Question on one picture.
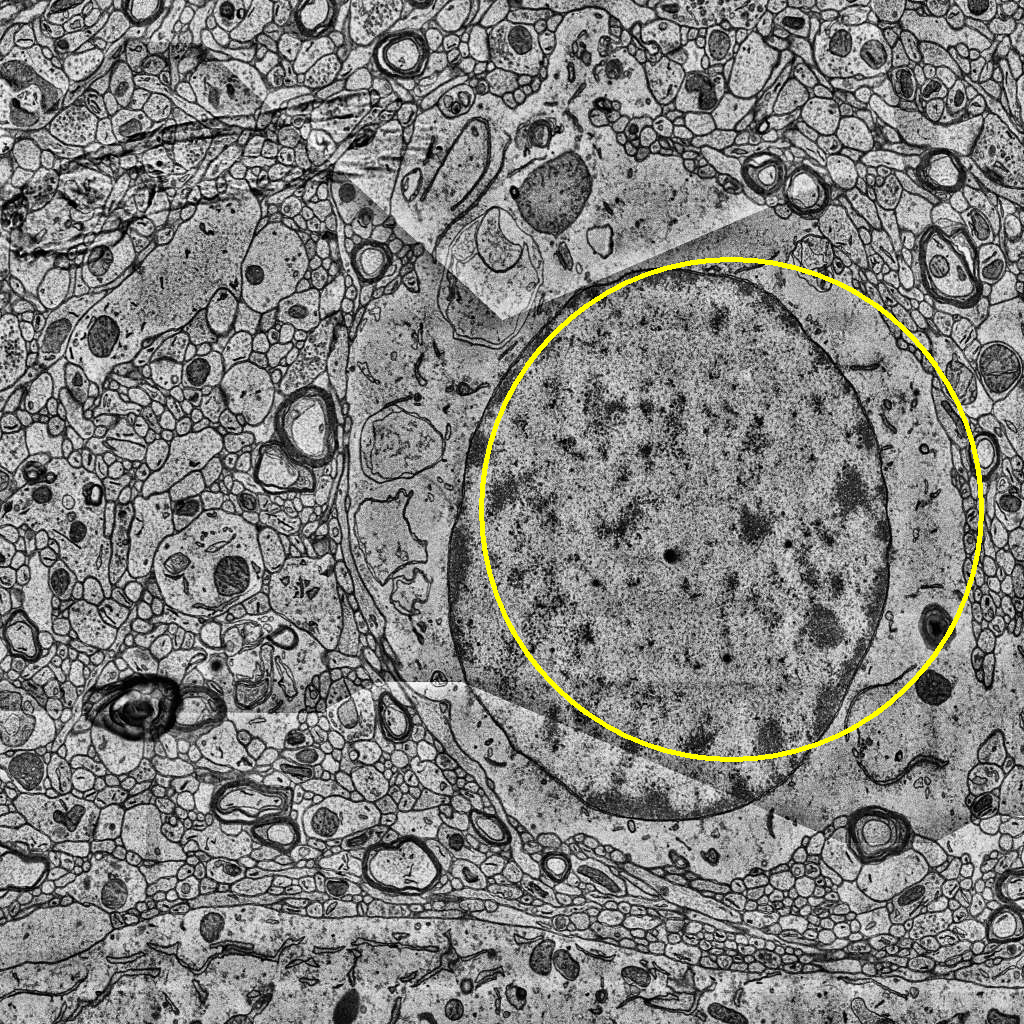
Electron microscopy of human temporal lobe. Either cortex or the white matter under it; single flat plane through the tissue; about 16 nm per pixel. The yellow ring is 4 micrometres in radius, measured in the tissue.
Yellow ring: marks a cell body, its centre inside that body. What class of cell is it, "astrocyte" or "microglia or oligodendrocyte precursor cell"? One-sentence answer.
This is an astrocyte, the cell at the ring's centre.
